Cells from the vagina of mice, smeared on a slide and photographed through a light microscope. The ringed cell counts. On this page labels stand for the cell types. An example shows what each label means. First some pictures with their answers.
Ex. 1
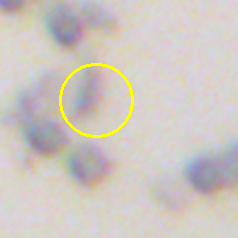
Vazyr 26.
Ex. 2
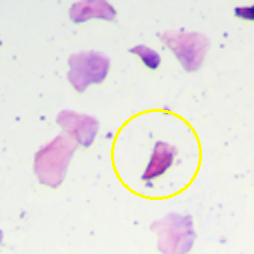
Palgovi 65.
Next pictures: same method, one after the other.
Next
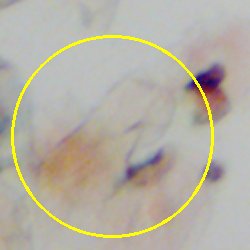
Palgovi 65.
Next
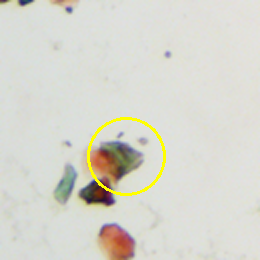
Palgovi 65.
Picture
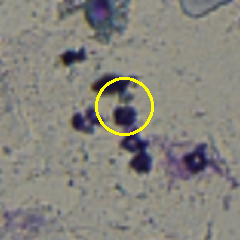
Vazyr 26.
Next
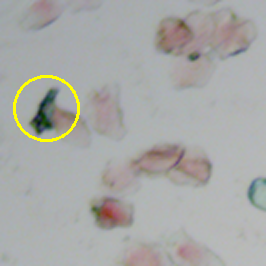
Palgovi 65.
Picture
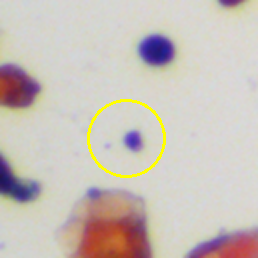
Vazyr 26.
